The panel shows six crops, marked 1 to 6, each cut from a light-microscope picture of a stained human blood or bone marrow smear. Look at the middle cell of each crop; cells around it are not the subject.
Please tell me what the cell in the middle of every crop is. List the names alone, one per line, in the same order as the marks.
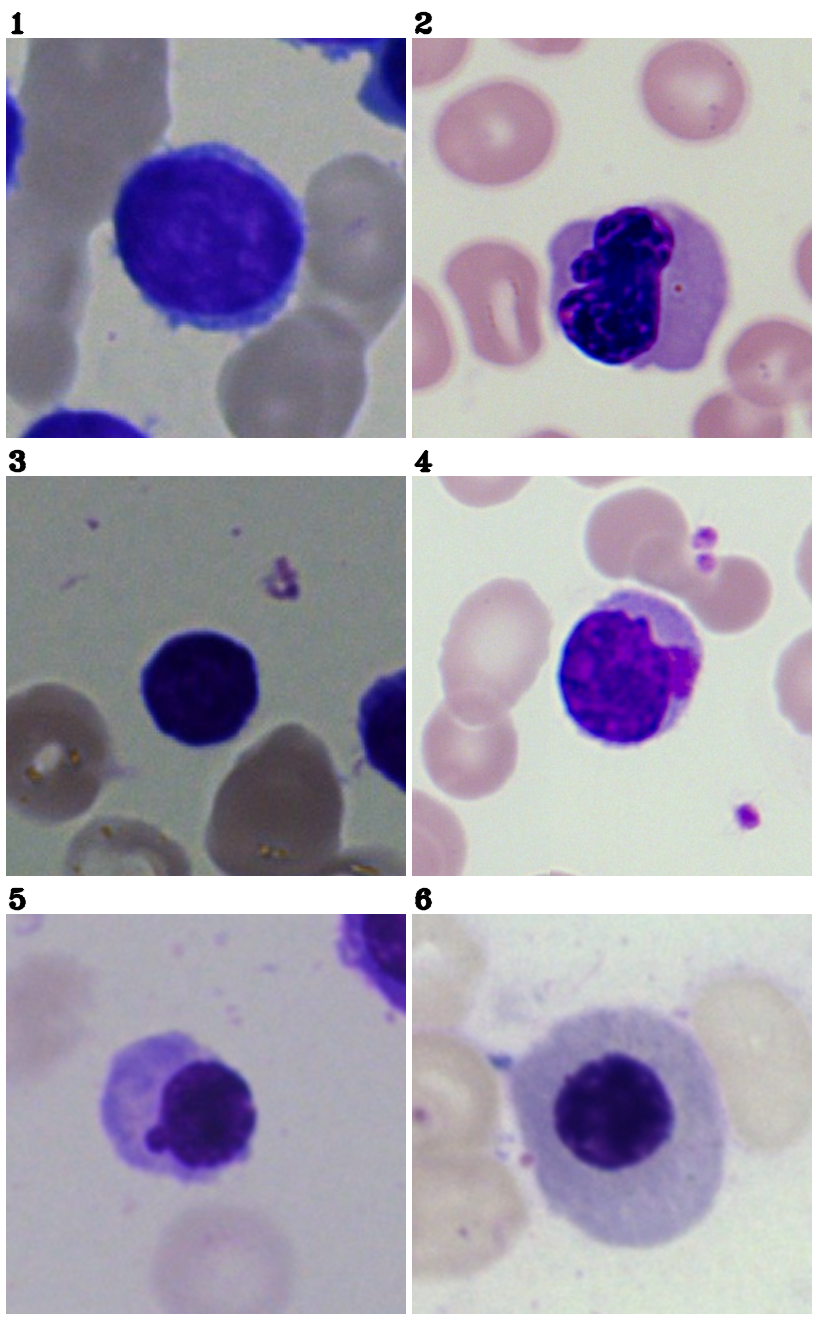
lymphocyte
normoblast
lymphocyte
lymphocyte
normoblast
normoblast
